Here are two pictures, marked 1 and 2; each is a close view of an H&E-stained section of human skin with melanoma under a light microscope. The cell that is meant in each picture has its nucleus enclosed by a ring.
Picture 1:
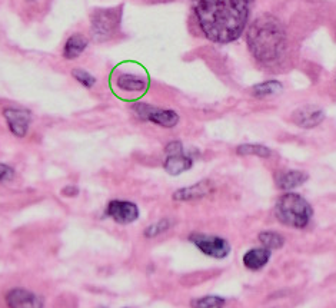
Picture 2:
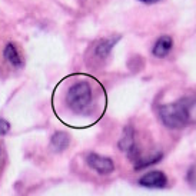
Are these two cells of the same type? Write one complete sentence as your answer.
Yes, both cells are “macrophages or monocytes”.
